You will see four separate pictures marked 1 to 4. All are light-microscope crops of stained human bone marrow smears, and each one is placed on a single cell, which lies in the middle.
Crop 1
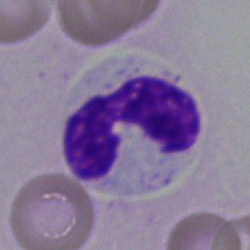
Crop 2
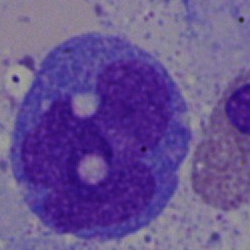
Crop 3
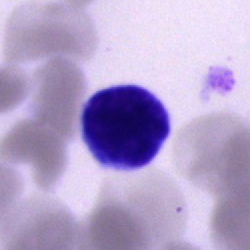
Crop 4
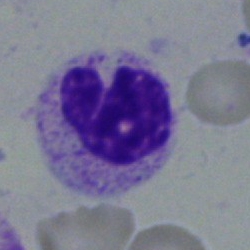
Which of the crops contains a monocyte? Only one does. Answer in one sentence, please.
So the crop with a monocyte at its center is crop 2.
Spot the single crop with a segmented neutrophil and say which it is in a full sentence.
Crop 1 is the right one; it is the crop showing a segmented neutrophil.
